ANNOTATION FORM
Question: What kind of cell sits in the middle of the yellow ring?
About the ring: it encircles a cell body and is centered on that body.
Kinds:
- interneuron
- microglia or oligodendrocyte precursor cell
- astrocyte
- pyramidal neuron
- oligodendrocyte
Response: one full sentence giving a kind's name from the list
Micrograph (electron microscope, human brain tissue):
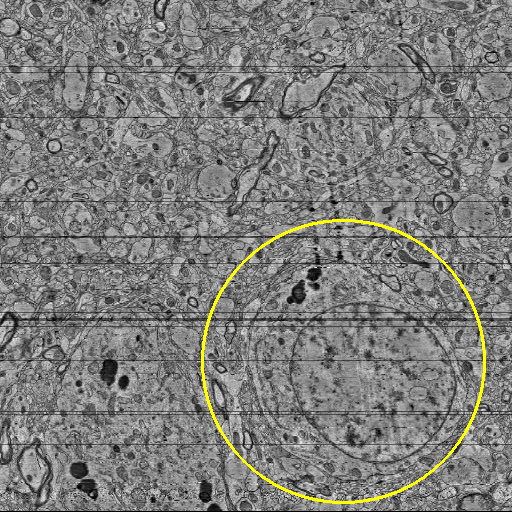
The kind of cell found at the center of the yellow ring in the micrograph is a pyramidal neuron.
